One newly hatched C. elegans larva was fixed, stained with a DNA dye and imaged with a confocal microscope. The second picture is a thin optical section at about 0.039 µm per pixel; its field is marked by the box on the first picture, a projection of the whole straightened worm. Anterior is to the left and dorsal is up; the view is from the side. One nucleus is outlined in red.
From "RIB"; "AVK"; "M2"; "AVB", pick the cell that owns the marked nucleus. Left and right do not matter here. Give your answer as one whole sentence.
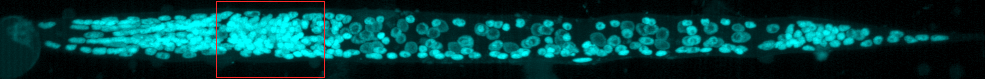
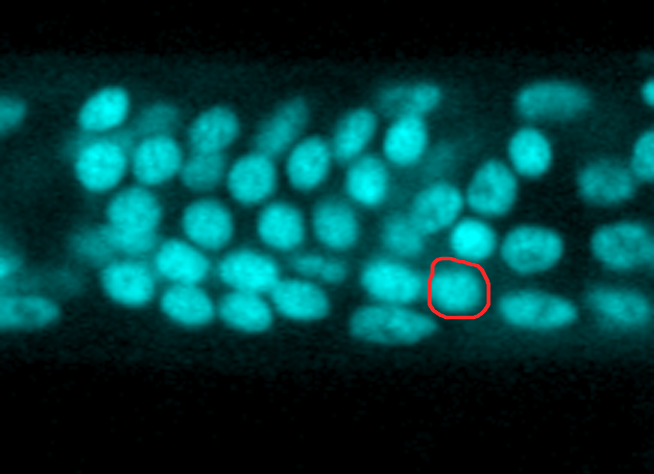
It belongs to AVK, a neuron.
